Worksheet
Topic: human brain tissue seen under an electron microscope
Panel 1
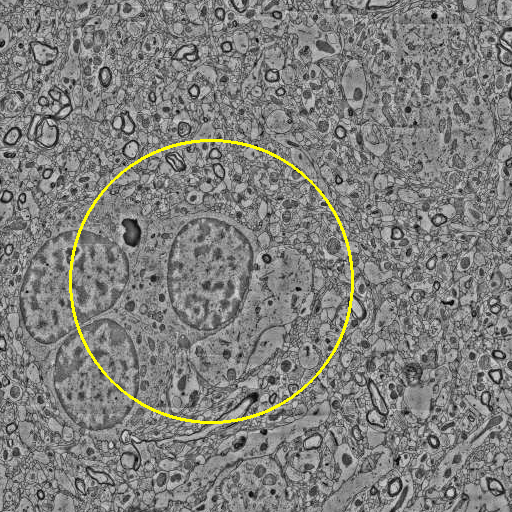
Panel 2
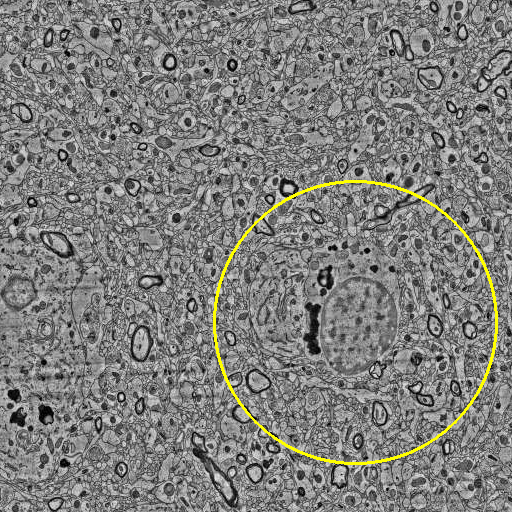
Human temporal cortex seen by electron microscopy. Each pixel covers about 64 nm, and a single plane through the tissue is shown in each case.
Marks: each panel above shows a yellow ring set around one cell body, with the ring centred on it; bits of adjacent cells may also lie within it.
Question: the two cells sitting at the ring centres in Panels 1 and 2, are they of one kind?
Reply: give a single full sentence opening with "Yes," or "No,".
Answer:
Yes, the two ring-centre cells in Panel 1 and Panel 2 are of one kind.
